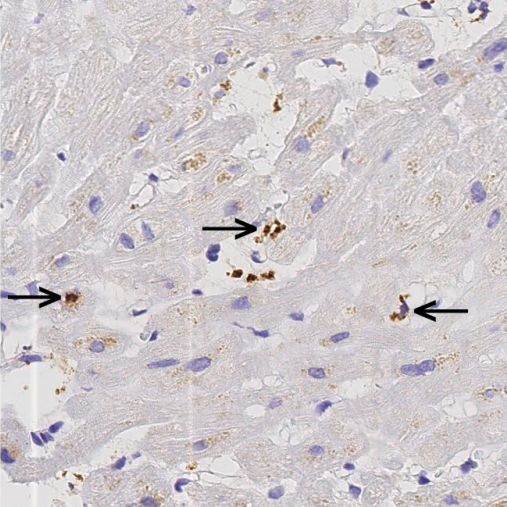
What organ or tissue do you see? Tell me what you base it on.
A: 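Elongated fibres run in parallel bundles. Large oval central nuclei lie singly within the fibres. Fine granules cluster near the nuclei of the fibres. So: myocardium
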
